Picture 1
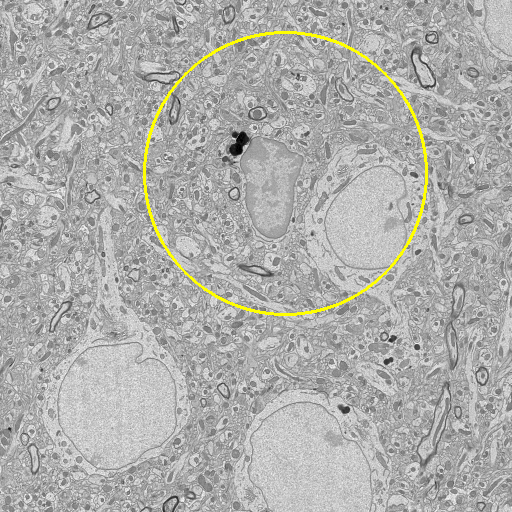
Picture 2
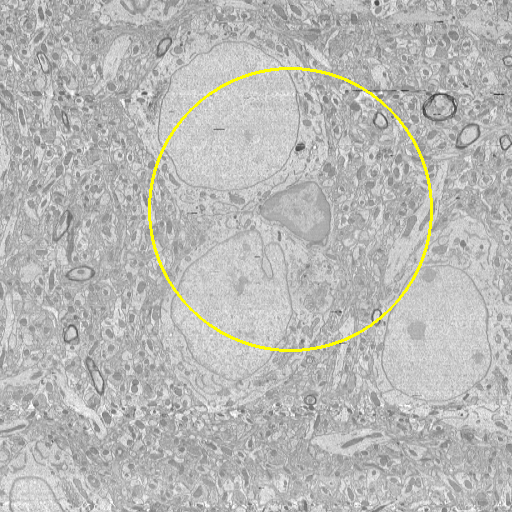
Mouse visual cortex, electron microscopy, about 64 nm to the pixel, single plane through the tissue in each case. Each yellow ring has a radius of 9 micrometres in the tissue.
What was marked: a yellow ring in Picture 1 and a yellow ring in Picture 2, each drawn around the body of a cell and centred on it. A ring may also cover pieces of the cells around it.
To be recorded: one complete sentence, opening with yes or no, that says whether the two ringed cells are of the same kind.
Yes, the two ringed cells are of the same kind.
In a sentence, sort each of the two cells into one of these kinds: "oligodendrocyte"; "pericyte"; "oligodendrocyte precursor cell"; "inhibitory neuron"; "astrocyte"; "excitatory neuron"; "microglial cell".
The second cell is a microglial cell, just as the first is.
